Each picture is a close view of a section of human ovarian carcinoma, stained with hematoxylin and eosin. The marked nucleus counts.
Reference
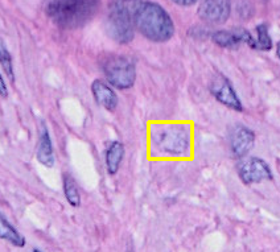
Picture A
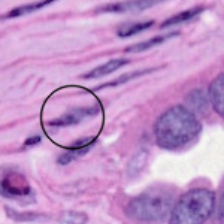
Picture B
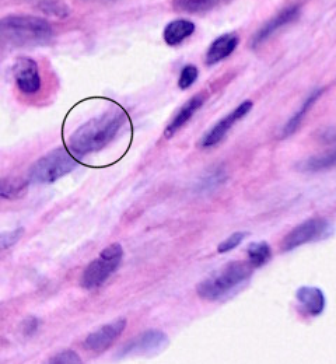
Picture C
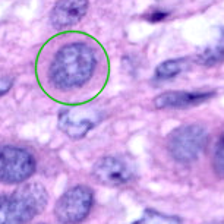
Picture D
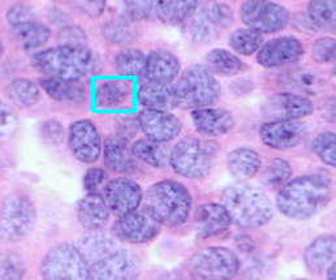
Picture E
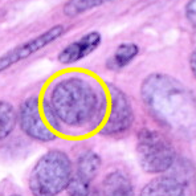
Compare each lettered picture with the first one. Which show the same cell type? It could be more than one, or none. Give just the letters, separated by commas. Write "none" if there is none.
A, B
